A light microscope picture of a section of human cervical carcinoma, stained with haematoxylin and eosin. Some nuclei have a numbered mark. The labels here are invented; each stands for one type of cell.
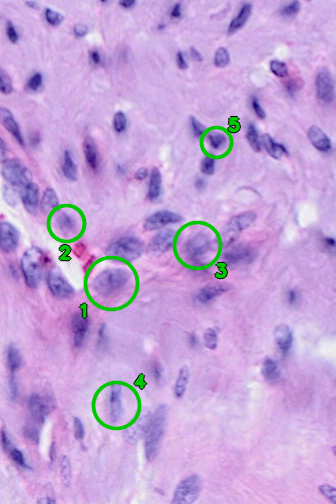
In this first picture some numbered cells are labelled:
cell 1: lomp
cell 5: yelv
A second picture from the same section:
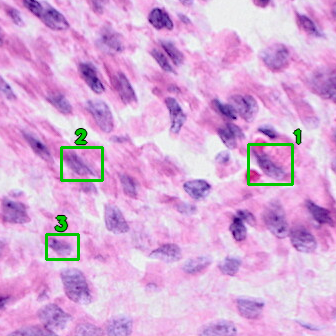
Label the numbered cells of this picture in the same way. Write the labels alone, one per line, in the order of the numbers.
lomp
yelv
yelv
